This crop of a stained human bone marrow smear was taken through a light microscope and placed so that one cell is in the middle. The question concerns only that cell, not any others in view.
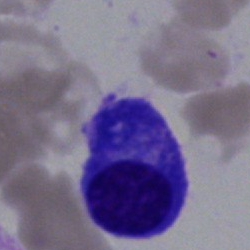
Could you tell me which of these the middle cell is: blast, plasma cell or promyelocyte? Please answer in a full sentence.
This crop has a plasma cell at its centre.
